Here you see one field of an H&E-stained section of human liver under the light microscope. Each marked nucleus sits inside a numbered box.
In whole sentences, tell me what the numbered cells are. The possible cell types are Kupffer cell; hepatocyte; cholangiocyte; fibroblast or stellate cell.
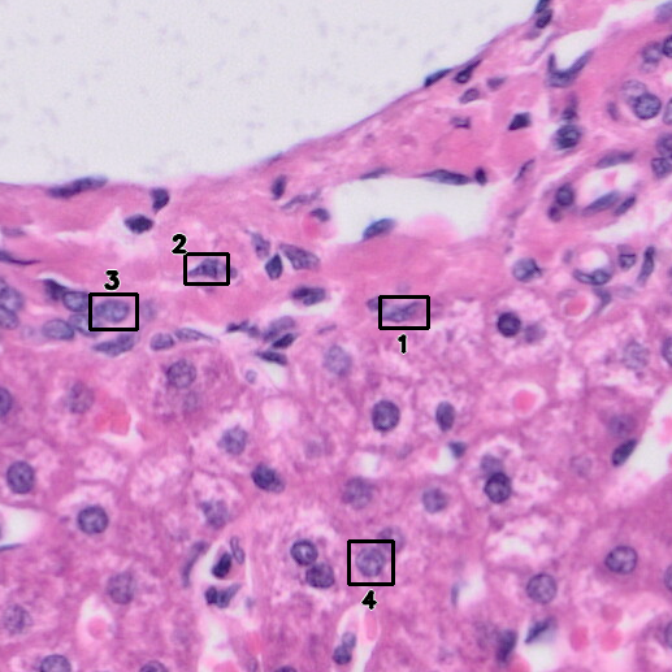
Cells 1 and 2 are fibroblasts or stellate cells. Cell 3 is a cholangiocyte. Cell 4 is a hepatocyte.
